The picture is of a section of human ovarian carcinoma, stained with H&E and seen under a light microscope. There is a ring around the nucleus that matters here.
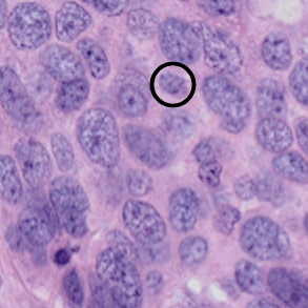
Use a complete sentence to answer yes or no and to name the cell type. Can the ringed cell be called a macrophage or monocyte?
Yes, the ringed cell counts as a macrophage or monocyte in this tissue.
